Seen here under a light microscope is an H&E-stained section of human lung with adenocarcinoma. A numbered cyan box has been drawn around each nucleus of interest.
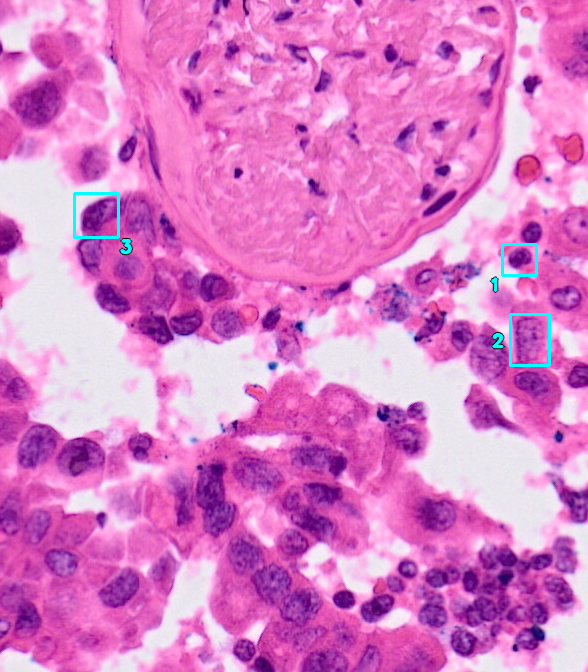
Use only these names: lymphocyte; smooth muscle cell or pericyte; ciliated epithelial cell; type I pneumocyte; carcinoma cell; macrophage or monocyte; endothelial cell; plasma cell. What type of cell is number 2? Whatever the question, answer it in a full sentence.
The cell identified by the number 2 is a carcinoma cell.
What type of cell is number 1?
The nucleus with number 1 is that of a lymphocyte.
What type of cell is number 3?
The one labeled 3 is a carcinoma cell, to put it simply.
